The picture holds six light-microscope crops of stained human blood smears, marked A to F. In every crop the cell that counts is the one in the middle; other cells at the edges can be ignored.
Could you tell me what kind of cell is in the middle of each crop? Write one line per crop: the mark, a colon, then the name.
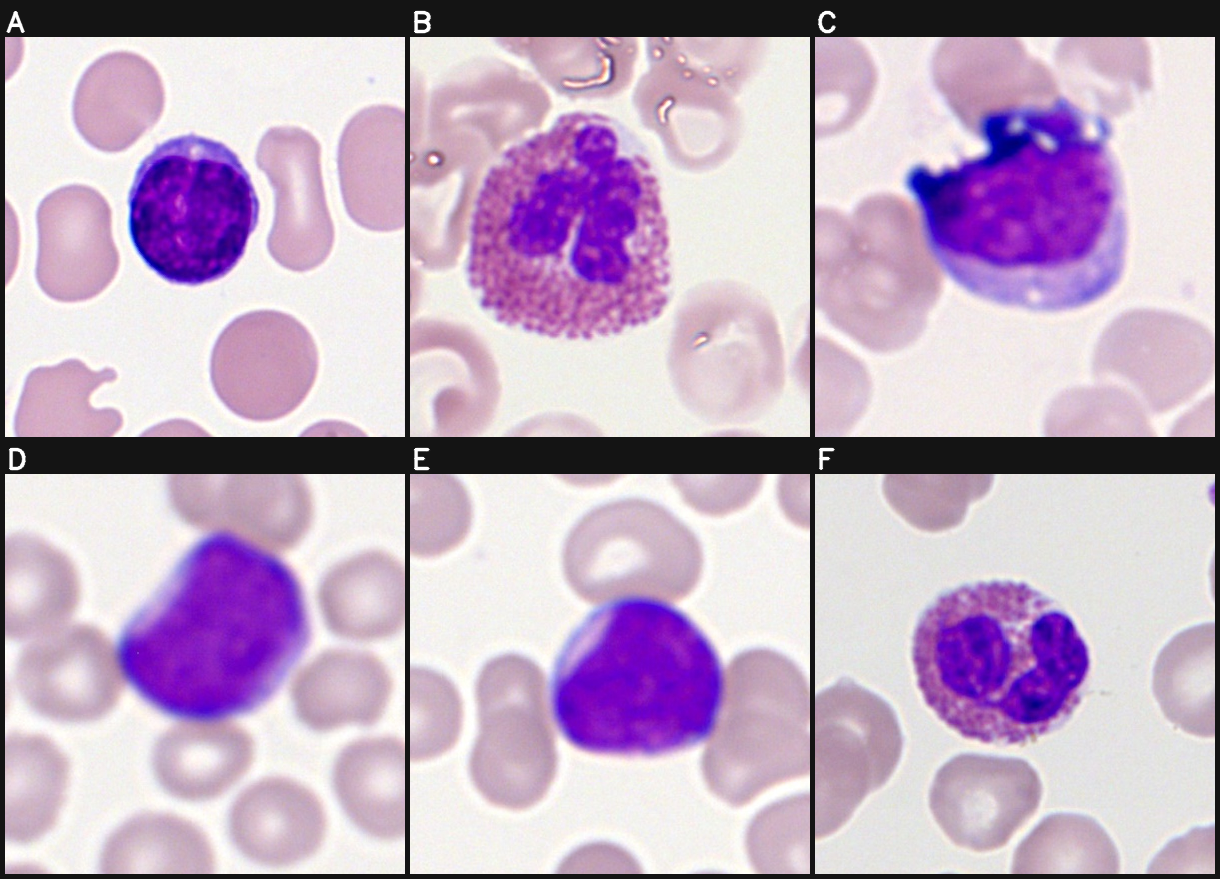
A: lymphocyte
B: eosinophil
C: myeloblast
D: myeloblast
E: myeloblast
F: eosinophil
